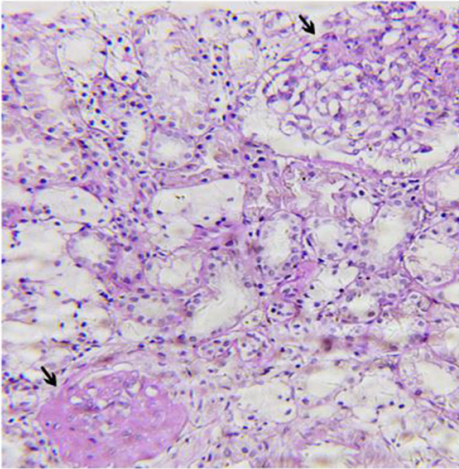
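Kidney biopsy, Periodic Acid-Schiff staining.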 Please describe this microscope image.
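The lower glomerulus is largely replaced by homogeneous pink, matrix-rich material with few patent capillary loops, a sclerosed glomerulus. The upper glomerulus is lobulated with pink-stained mesangial areas and some capillary lumens still open. Around them, tubules are lined by cuboidal epithelial cells with round blue nuclei and pale pink cytoplasm; several tubules appear dilated with flattened lining cells. Scattered nuclei lie in the interstitium between tubules.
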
